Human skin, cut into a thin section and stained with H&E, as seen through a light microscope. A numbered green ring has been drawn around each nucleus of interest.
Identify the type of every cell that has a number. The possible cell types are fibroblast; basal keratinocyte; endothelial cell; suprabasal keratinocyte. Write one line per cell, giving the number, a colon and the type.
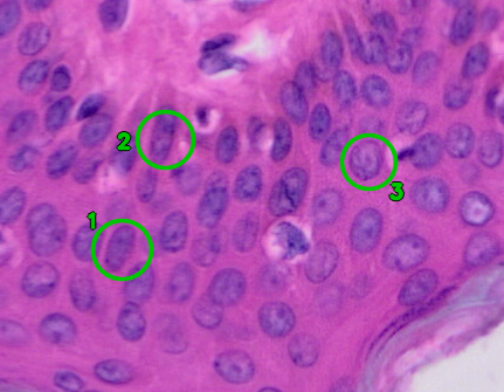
1: suprabasal keratinocyte
2: basal keratinocyte
3: suprabasal keratinocyte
